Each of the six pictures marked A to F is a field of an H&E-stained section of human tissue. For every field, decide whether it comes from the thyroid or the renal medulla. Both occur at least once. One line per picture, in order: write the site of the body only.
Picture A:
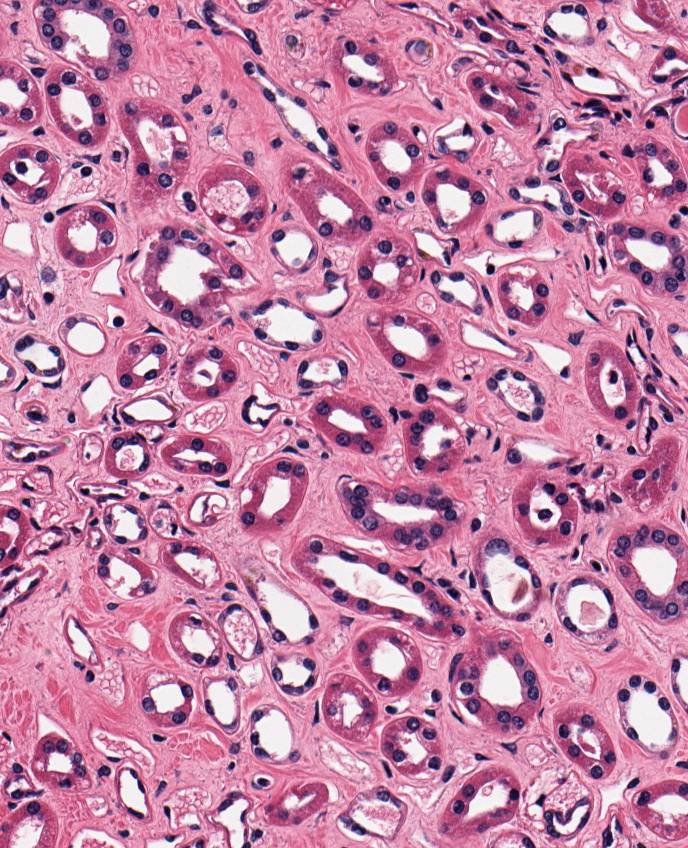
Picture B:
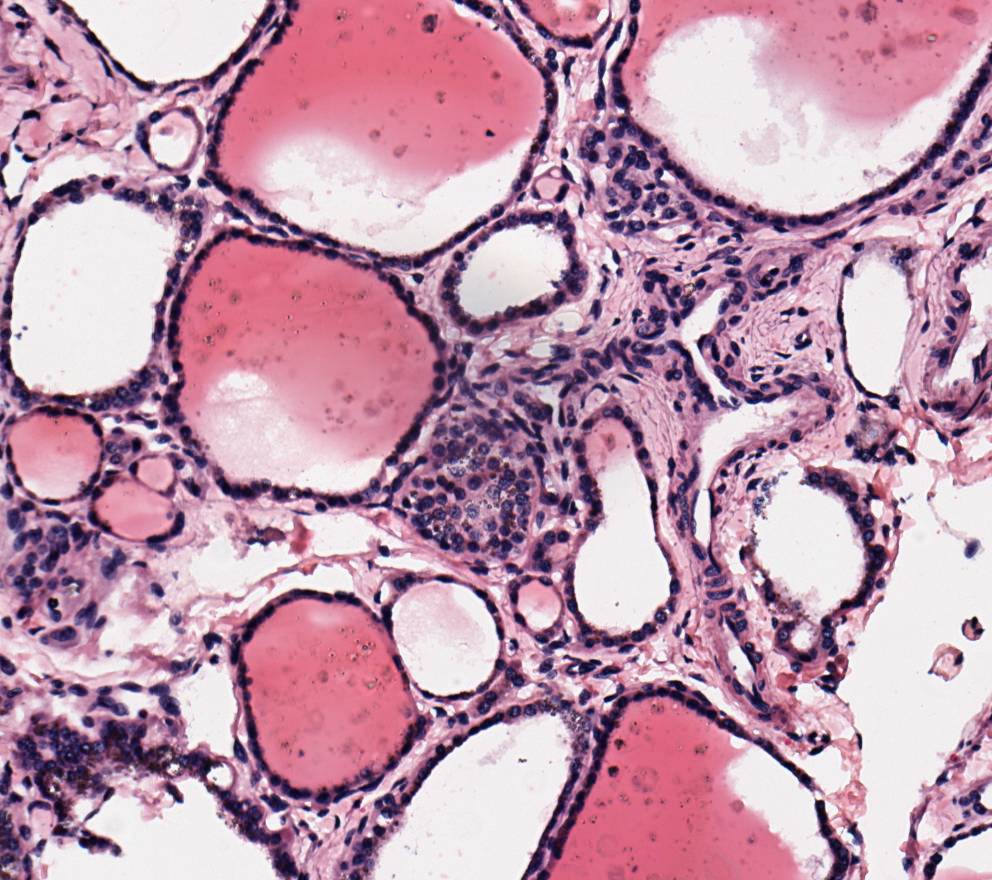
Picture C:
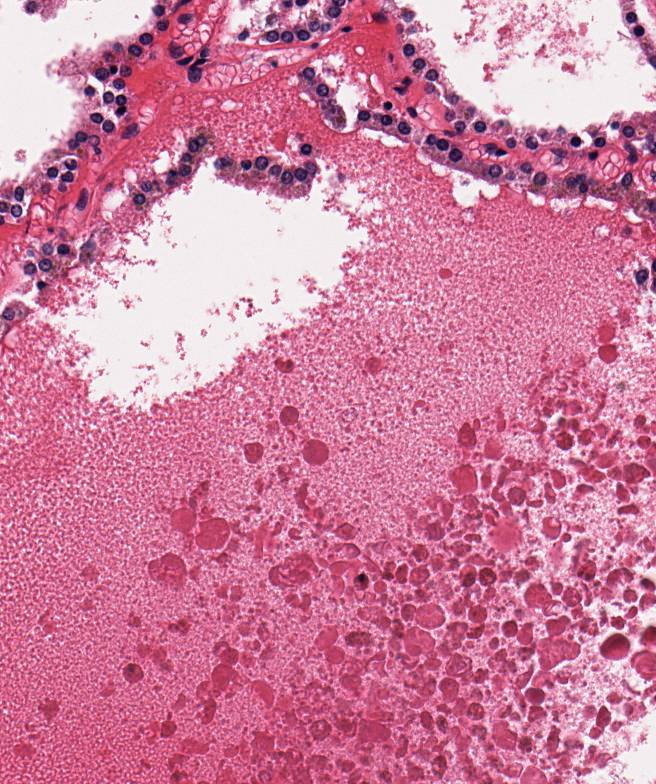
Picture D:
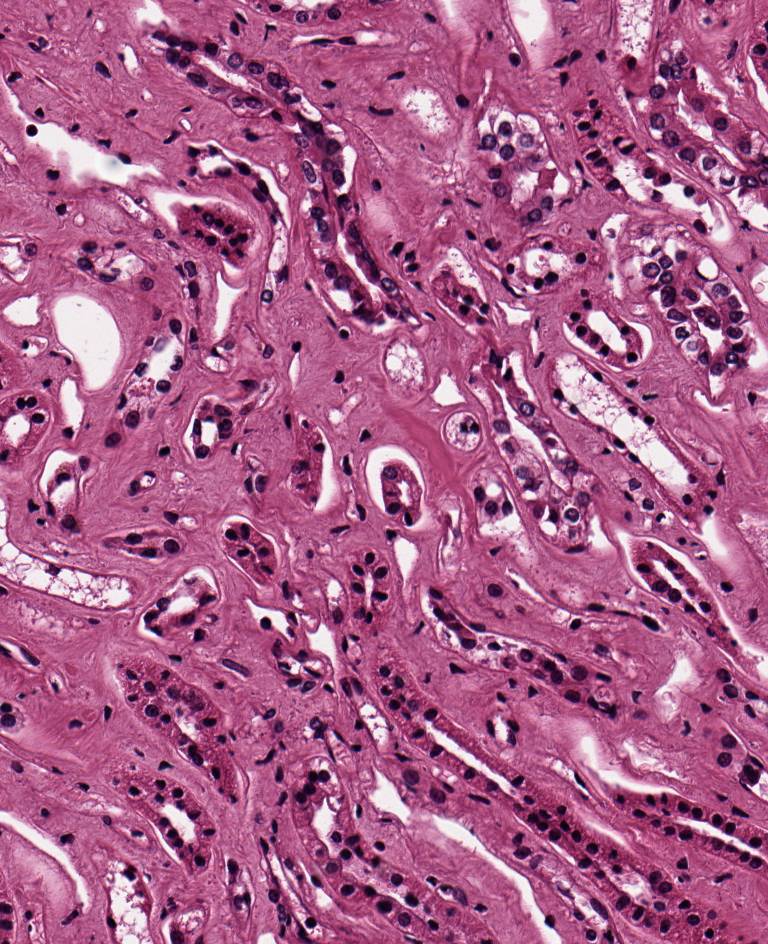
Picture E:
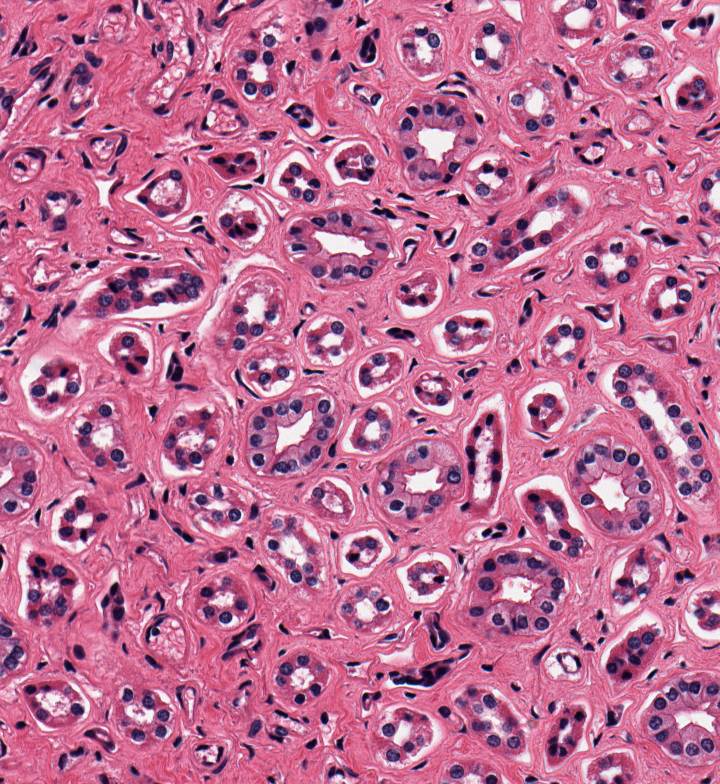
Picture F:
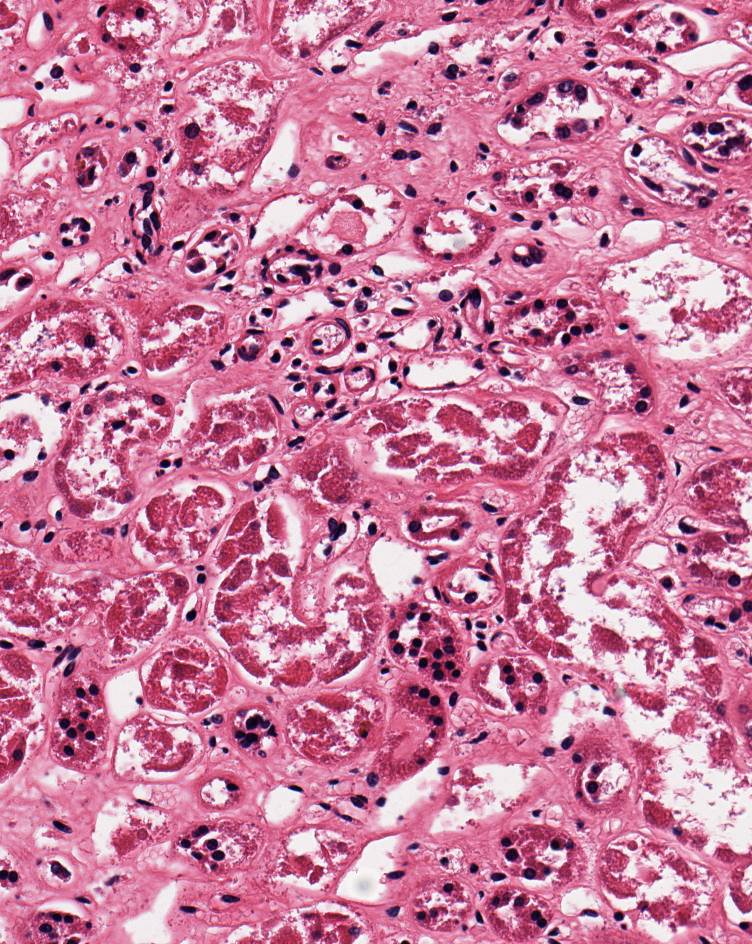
renal medulla
thyroid
thyroid
renal medulla
renal medulla
renal medulla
